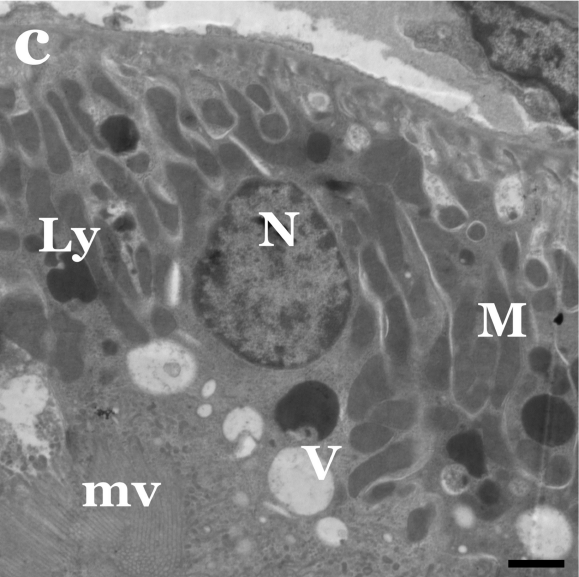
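Proximal tubular cell of kidney, disrupted. A large oval nucleus with dispersed chromatin sits centrally. Several very electron-dense round bodies, lysosomes, lie near the nucleus and at left. Numerous pale, round vacuoles of varying size, some with flocculent content, are scattered through the cytoplasm. At lower left a dense brush of long, closely packed microvilli forms the luminal border. A pale band and an adjacent cell fragment lie along the upper edge.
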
